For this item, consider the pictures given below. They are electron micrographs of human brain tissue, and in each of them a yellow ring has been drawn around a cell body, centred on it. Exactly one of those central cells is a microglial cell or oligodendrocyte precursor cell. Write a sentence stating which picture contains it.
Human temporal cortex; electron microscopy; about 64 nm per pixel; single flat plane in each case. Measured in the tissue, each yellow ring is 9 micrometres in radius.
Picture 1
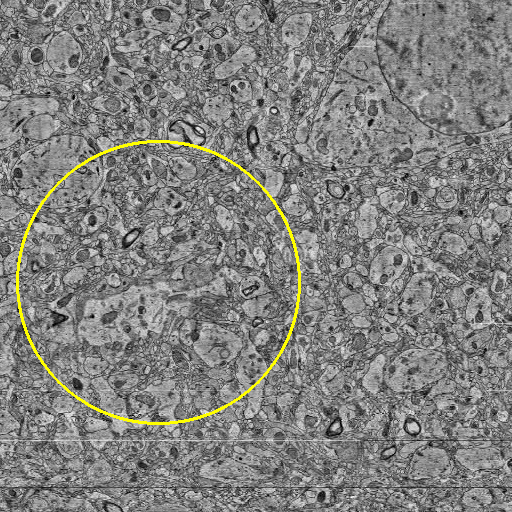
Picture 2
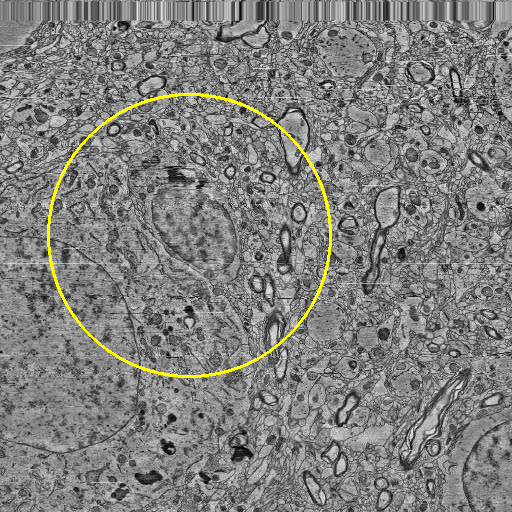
It is in Picture 1.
